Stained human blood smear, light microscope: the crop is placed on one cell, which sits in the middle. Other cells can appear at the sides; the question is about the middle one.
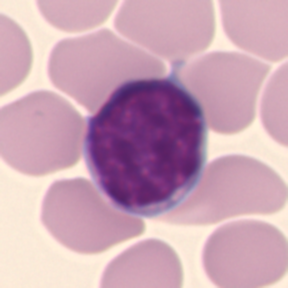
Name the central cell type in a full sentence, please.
By classification, the middle cell of this crop is a typical lymphocyte.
